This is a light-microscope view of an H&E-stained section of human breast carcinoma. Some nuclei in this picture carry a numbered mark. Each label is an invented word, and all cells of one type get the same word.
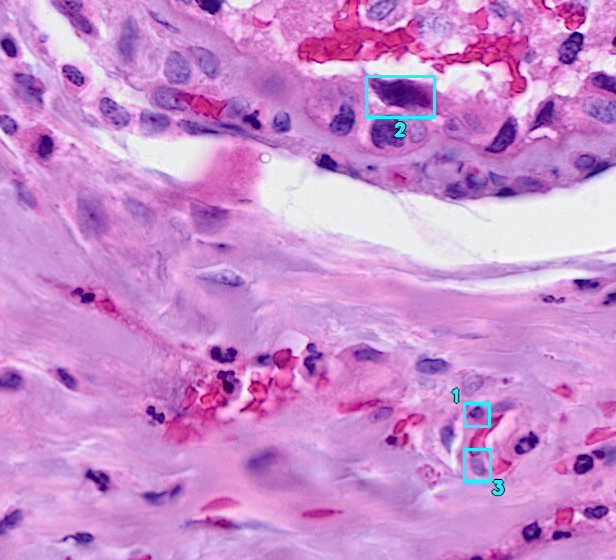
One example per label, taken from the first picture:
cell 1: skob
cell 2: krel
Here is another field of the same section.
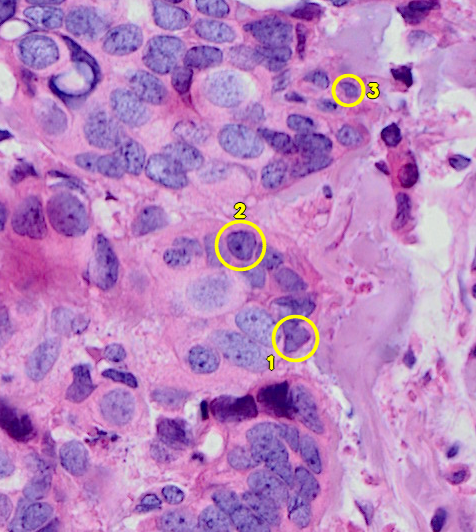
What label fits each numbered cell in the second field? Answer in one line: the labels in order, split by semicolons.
krel; krel; skob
